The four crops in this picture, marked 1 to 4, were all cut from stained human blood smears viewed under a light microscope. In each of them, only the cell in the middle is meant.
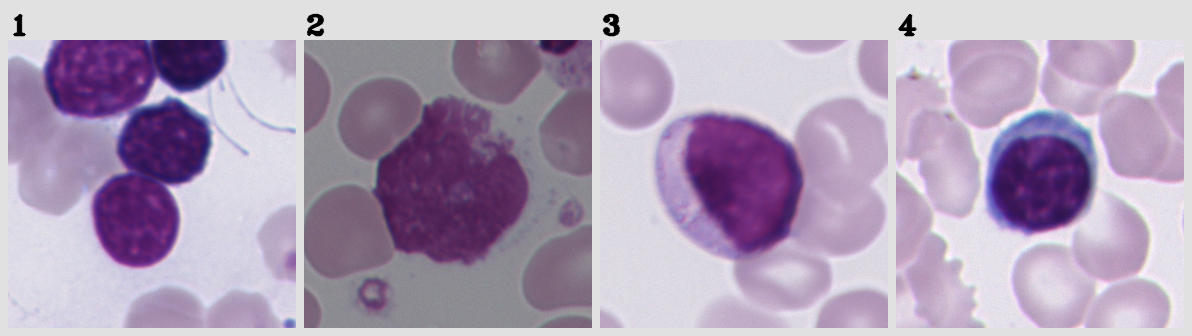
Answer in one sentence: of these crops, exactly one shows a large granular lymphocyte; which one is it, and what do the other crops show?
Crop 3 holds a large granular lymphocyte at its centre, while crop 1 is a myeloblast, crop 2 is a smudge cell and crop 4 is a typical lymphocyte.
